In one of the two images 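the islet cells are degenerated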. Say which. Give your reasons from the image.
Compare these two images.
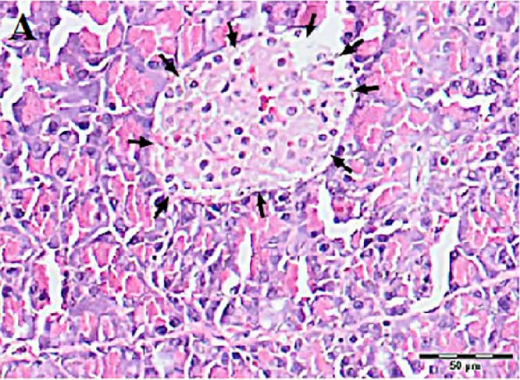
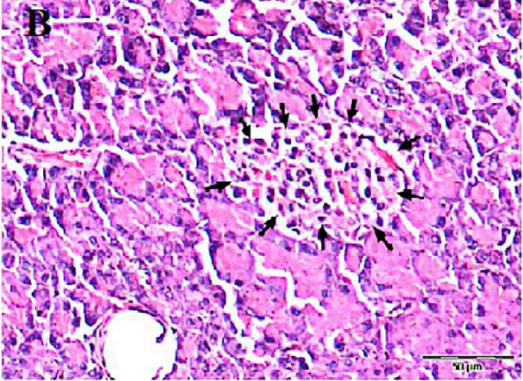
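Second image: the islet is loose, with scattered small dark nuclei and spaces between cells. First image: the islet is a compact, pale, sharply bounded cluster of evenly spaced cells with round nuclei. The answer: the second image.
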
